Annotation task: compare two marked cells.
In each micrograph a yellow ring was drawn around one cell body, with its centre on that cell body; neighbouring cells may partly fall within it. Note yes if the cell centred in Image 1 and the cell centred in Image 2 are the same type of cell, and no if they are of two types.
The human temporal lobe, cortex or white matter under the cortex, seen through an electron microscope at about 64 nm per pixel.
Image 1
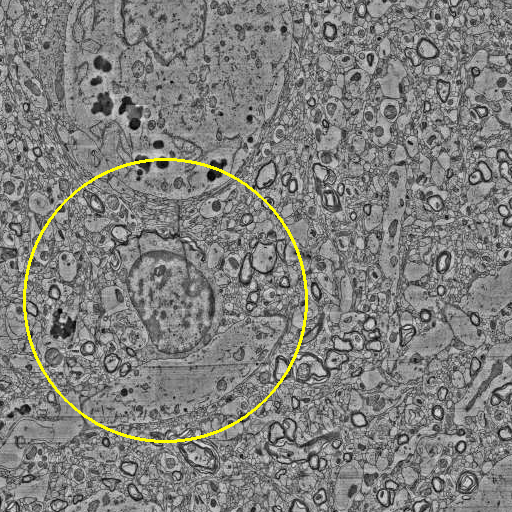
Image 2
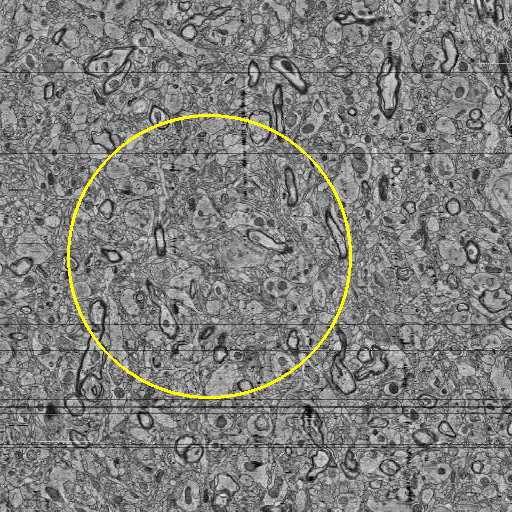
yes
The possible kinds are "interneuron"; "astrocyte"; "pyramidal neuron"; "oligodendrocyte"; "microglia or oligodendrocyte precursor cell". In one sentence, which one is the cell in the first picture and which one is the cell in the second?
In the first picture and in the second, the ring is centred on an oligodendrocyte.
